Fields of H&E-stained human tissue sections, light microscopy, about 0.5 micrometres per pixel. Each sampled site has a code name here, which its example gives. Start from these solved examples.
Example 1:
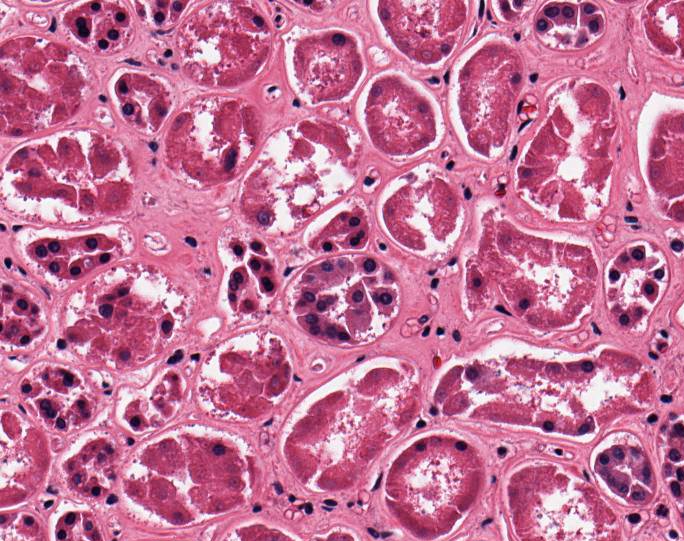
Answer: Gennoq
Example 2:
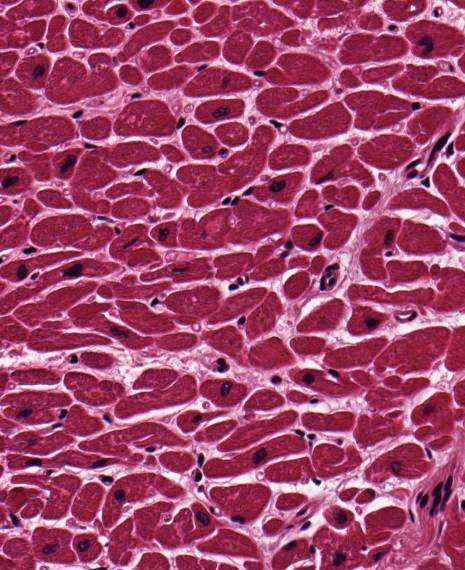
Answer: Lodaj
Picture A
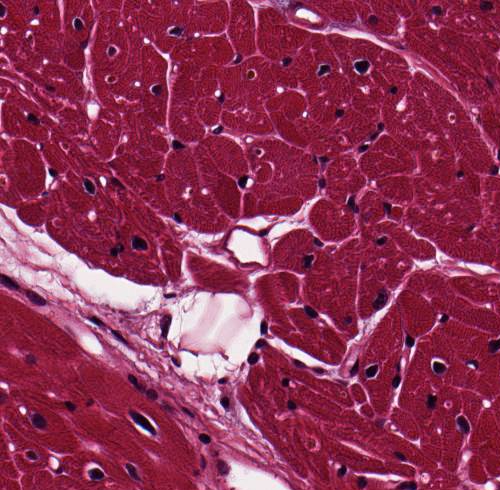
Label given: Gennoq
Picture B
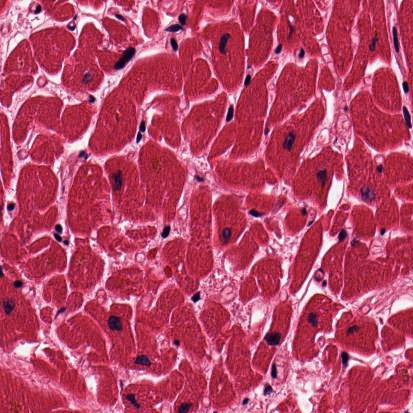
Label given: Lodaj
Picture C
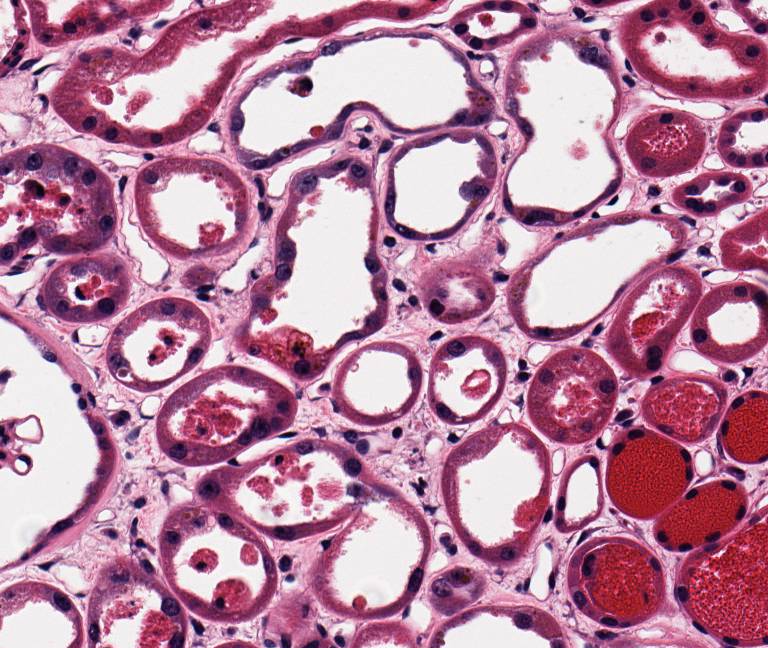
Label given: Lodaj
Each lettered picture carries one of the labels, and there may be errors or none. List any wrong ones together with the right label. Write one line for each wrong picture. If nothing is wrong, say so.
A is labelled Gennoq; correct label: Lodaj
C is labelled Lodaj; correct label: Gennoq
